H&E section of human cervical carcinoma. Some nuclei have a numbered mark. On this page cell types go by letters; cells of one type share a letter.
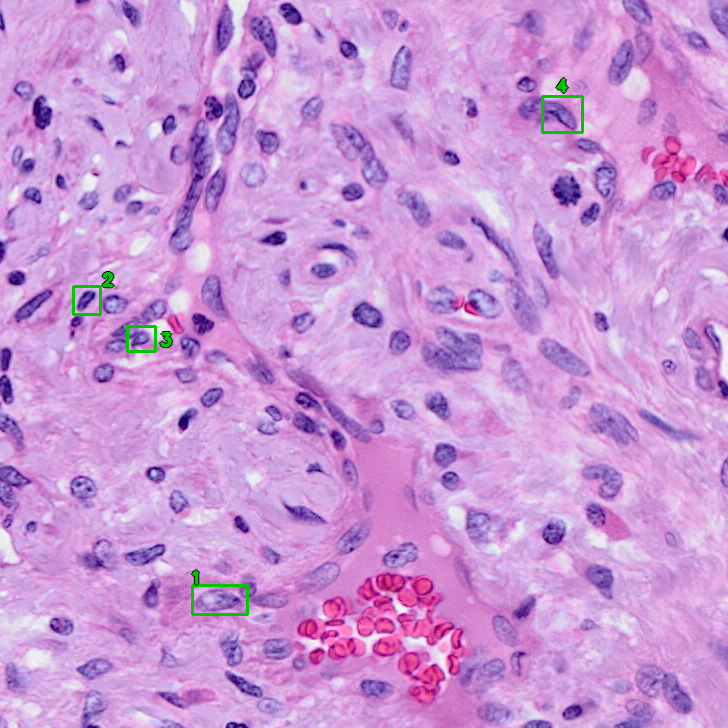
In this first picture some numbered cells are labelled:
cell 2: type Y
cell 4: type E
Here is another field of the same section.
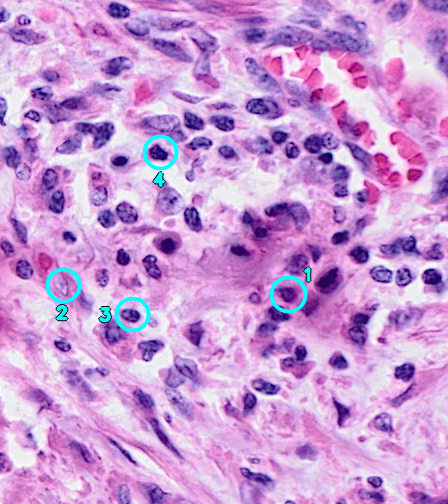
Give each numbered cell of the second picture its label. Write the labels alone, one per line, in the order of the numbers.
type Y
type E
type Y
type Y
